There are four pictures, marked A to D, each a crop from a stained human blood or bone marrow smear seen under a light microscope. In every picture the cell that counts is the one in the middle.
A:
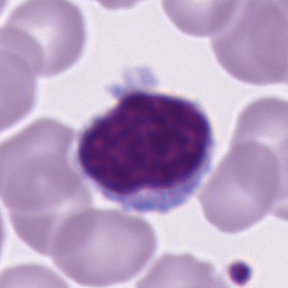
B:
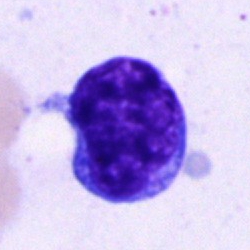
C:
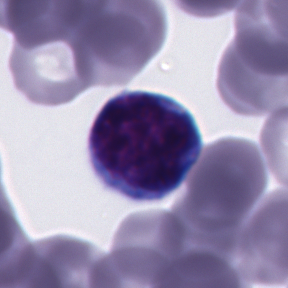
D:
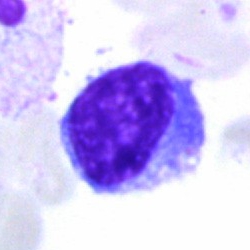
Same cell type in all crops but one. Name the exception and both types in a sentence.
Crop B breaks the pattern as a blast; the other crops all contain lymphocytes.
